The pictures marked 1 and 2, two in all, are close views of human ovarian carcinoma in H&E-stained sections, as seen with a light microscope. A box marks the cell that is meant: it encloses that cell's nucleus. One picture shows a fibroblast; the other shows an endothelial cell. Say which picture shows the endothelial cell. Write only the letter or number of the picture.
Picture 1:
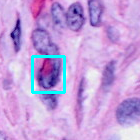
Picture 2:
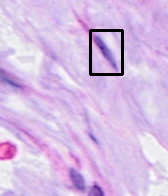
1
